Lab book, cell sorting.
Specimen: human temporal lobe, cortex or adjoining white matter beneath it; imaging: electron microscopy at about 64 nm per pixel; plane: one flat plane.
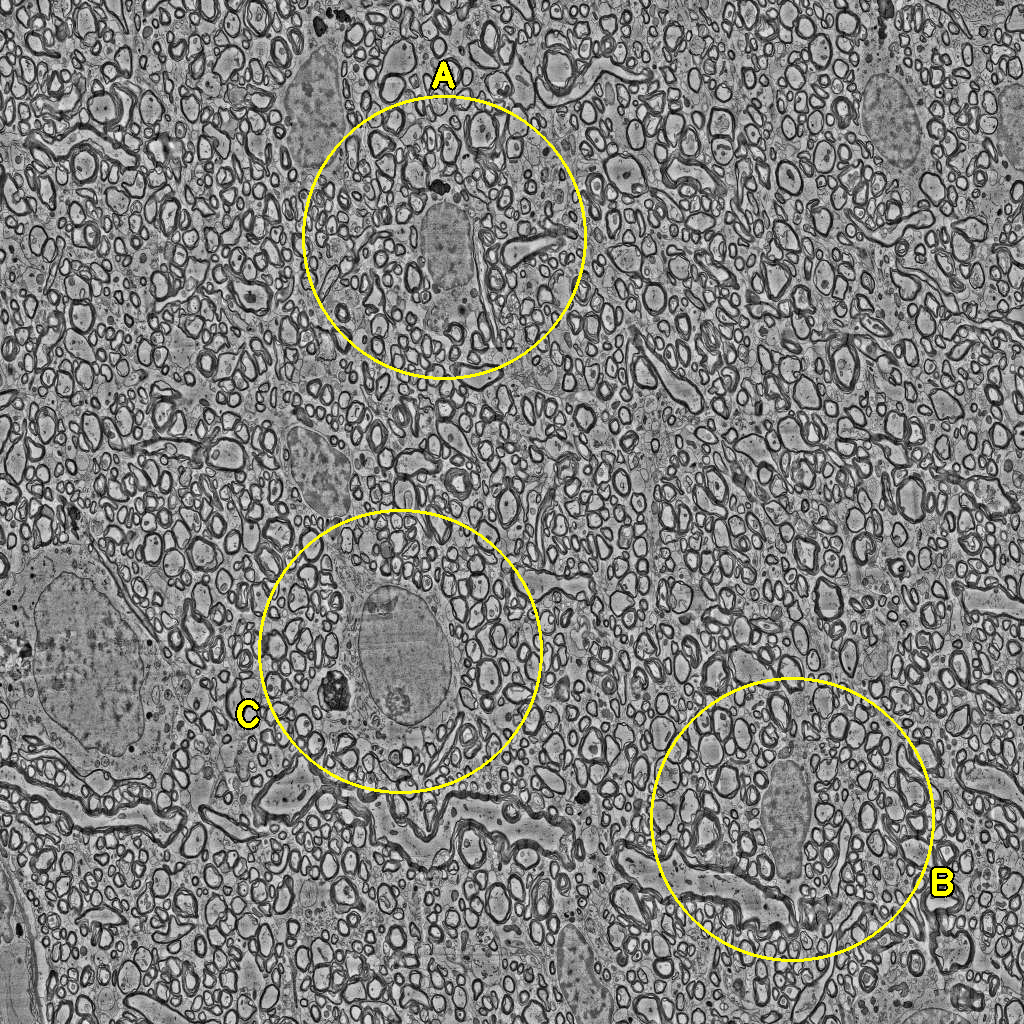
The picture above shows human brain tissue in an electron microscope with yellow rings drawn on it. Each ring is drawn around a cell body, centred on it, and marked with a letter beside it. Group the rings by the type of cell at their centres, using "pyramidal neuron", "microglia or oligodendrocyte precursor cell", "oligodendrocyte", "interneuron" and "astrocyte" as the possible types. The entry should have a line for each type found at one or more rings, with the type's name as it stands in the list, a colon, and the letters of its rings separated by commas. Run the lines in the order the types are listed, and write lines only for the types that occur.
oligodendrocyte: A, B
astrocyte: C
